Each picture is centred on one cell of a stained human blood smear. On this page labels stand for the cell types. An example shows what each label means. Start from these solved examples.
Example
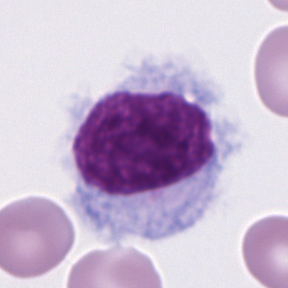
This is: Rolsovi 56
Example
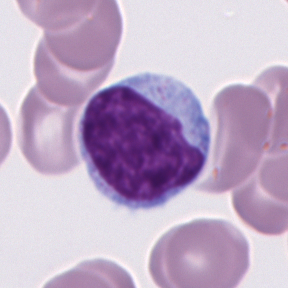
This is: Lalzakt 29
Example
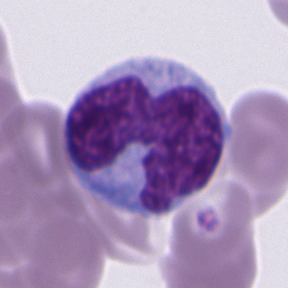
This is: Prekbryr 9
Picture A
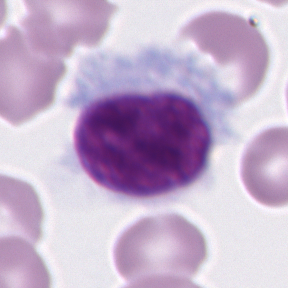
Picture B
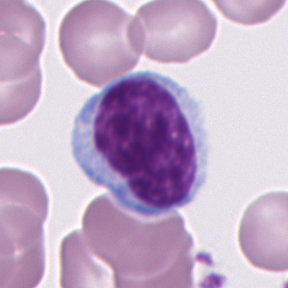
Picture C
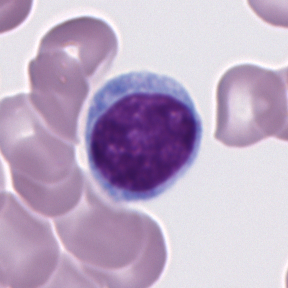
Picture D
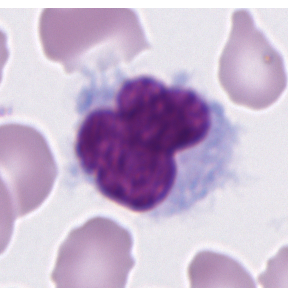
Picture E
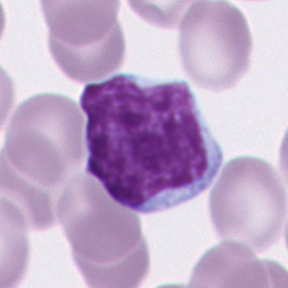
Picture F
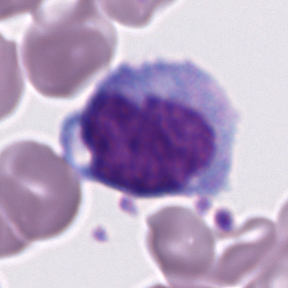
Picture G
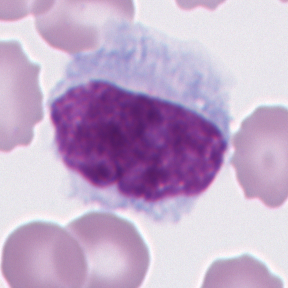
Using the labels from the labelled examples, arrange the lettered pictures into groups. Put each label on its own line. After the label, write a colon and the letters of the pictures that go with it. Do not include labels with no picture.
Rolsovi 56: A, D, G
Lalzakt 29: B, C, E
Prekbryr 9: F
